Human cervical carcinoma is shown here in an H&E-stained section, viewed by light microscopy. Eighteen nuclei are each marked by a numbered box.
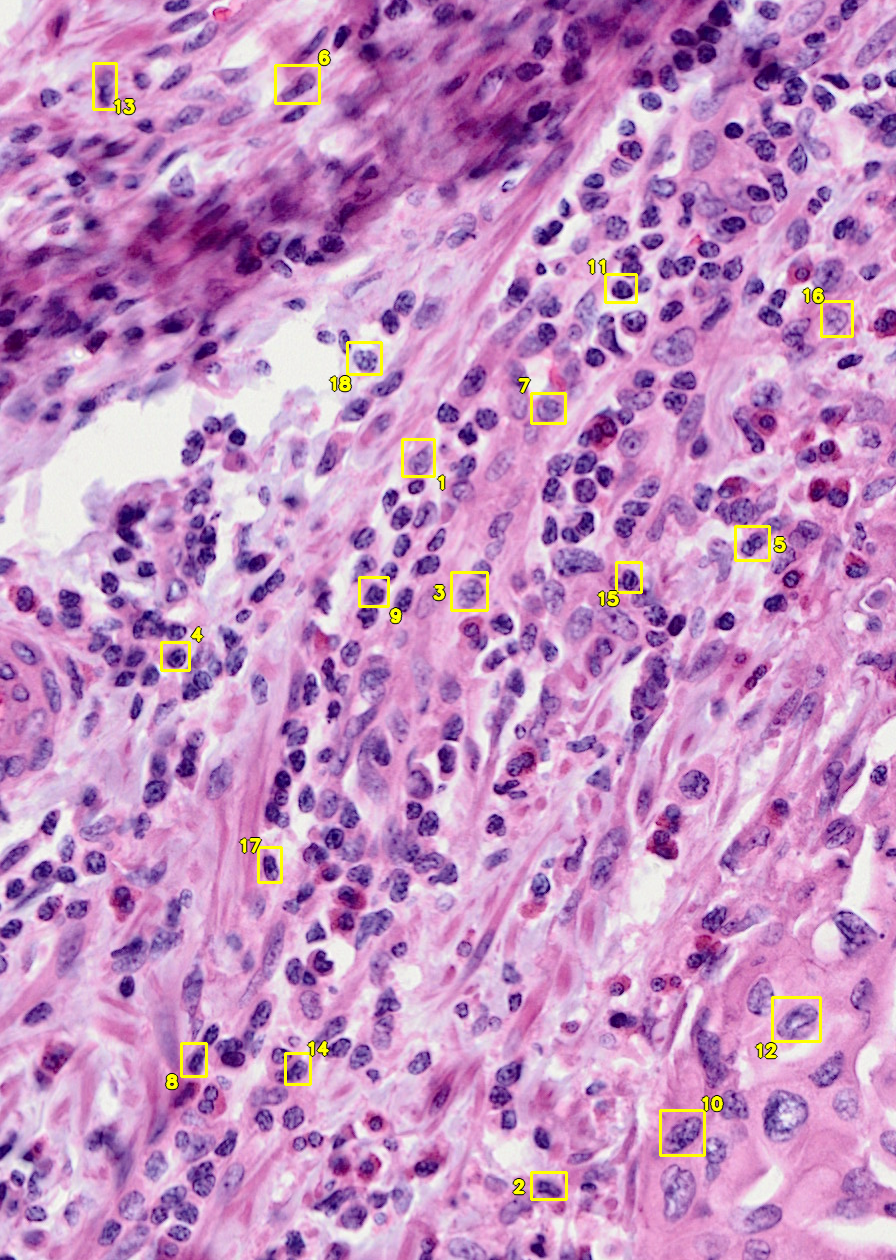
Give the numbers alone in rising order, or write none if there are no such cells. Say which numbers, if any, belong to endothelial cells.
7, 16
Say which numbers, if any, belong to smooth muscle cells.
13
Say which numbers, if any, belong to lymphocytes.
2, 4, 5, 8, 9, 11, 14, 15, 17, 18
